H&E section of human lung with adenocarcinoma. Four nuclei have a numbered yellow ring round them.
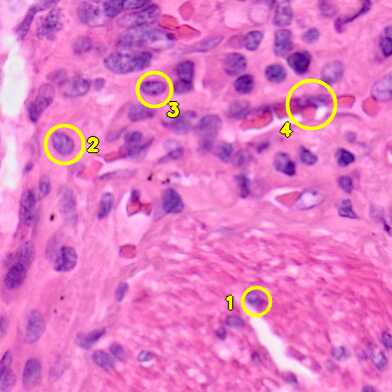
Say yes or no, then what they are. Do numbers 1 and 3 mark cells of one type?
No, cell 1 is a smooth muscle cell or pericyte and cell 3 is a mast cell.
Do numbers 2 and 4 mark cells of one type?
No, cell 2 is a mast cell and cell 4 is an endothelial cell.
